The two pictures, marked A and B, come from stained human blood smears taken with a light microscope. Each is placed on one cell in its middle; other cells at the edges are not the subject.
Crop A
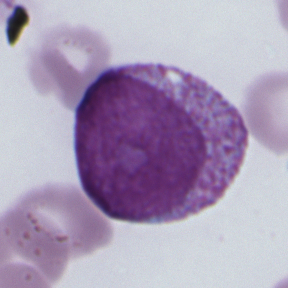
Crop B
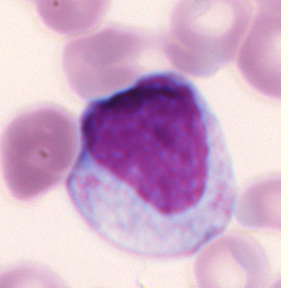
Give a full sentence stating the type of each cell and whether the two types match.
No, crop A contains a myelocyte, whereas crop B contains a large granular lymphocyte.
